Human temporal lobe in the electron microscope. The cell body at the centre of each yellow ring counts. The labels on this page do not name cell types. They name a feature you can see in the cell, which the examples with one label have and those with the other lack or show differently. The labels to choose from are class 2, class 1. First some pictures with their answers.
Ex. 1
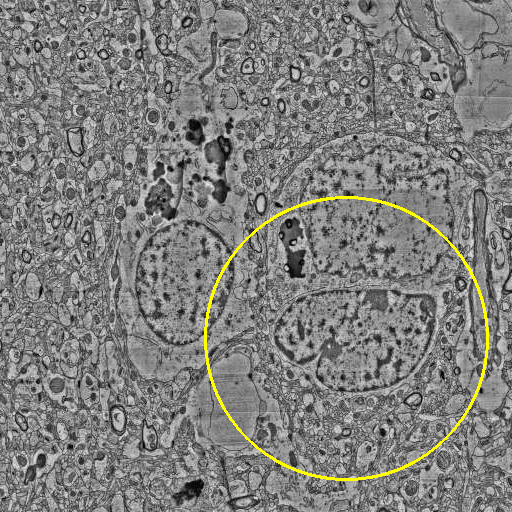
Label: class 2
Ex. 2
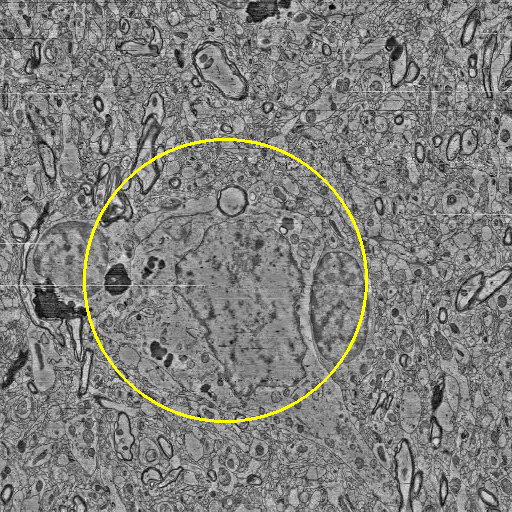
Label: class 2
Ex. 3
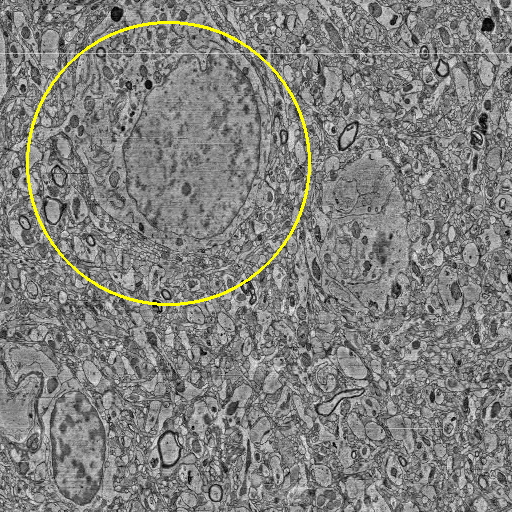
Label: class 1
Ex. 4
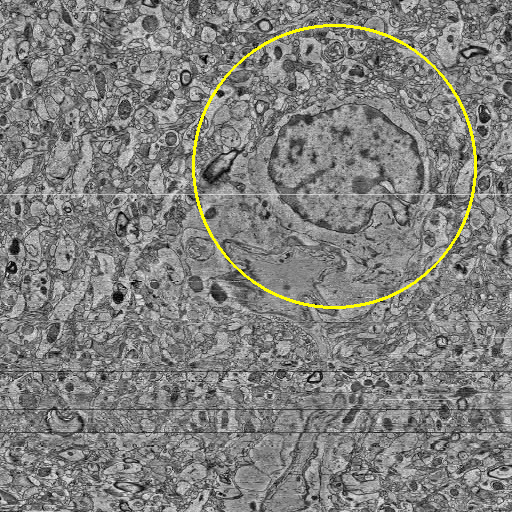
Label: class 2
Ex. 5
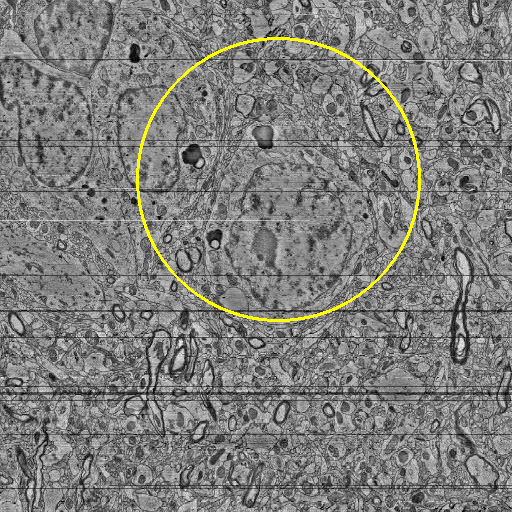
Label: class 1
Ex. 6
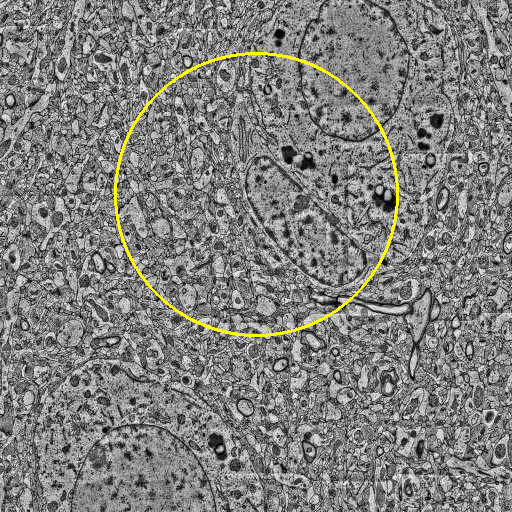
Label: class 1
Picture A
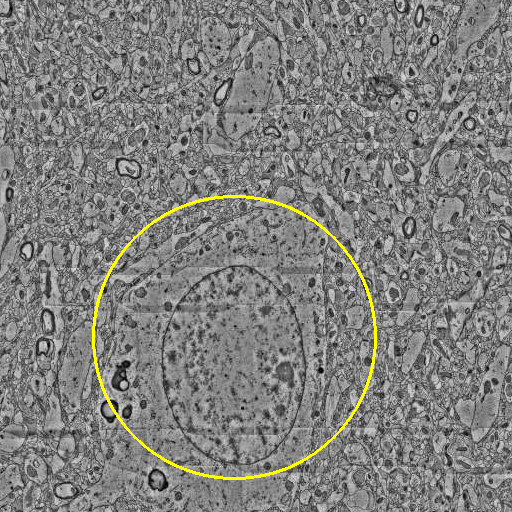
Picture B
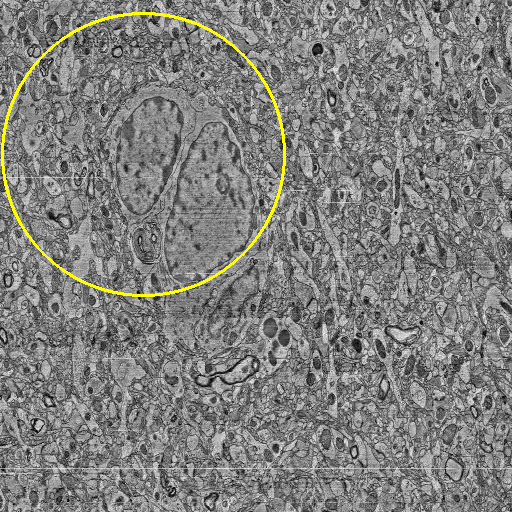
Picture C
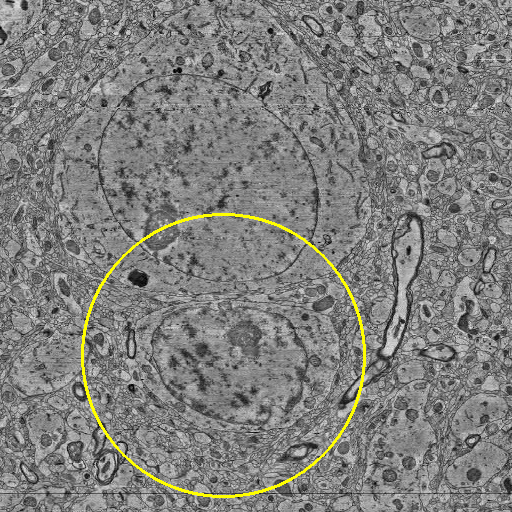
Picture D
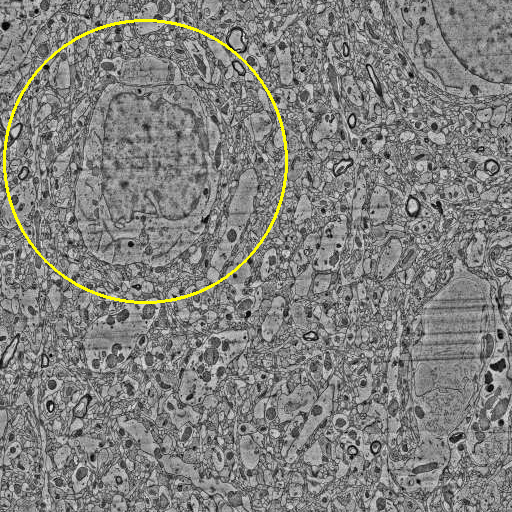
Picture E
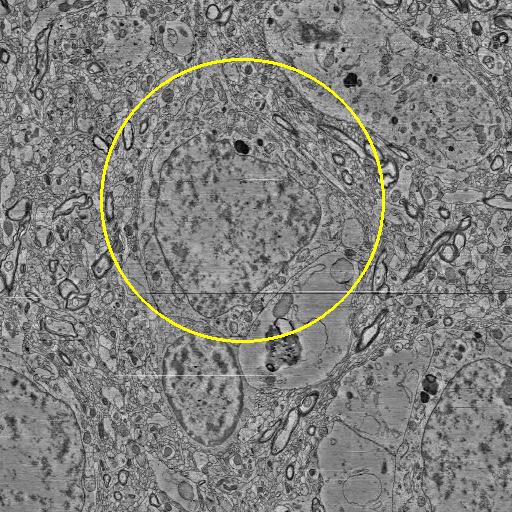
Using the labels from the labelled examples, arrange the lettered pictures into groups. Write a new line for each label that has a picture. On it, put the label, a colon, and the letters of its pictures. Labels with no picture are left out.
class 2: D
class 1: A, B, C, E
